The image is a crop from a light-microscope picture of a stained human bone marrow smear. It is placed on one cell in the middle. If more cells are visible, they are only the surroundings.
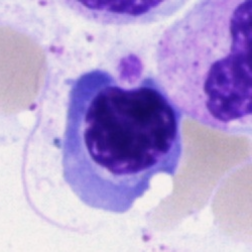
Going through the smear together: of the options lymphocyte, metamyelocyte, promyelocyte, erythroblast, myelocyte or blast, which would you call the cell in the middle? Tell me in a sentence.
The cell in the middle of the field of view is an erythroblast.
